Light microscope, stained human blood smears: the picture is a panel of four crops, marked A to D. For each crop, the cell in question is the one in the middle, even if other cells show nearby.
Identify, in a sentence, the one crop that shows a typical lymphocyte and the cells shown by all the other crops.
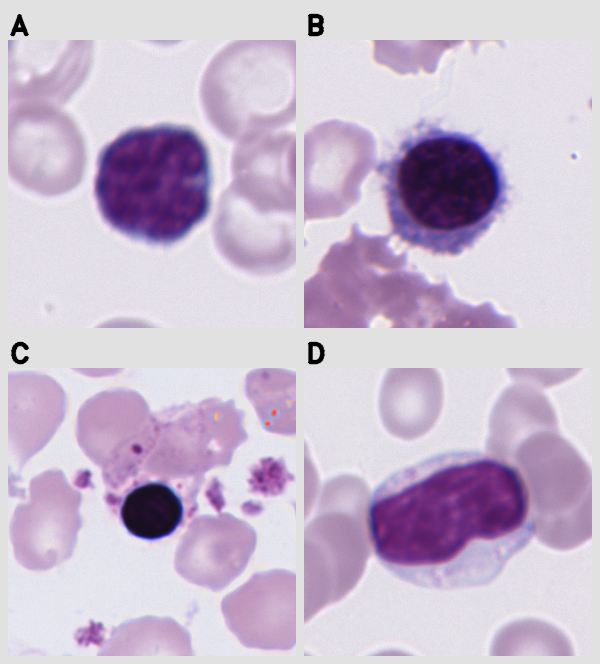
The cell centred in crop A is a typical lymphocyte; by contrast, crop B is a hairy cell, crop C is an erythroblast and crop D is a large granular lymphocyte.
